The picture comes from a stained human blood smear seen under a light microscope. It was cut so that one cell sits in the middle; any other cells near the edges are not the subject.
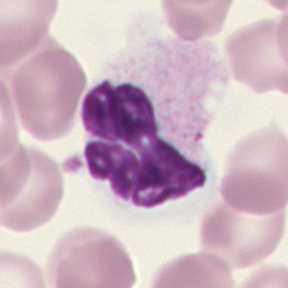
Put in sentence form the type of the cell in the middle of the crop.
The middle of this crop holds a segmented neutrophil.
